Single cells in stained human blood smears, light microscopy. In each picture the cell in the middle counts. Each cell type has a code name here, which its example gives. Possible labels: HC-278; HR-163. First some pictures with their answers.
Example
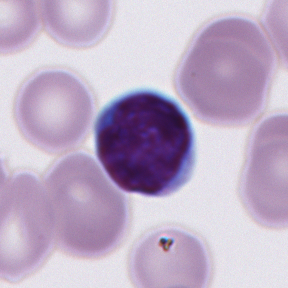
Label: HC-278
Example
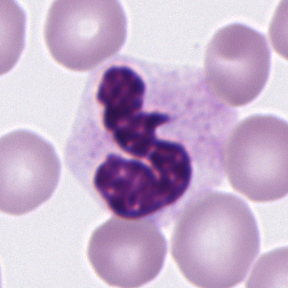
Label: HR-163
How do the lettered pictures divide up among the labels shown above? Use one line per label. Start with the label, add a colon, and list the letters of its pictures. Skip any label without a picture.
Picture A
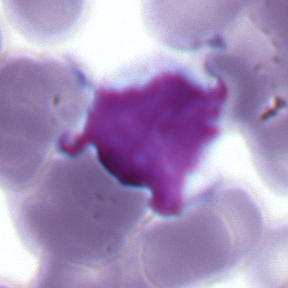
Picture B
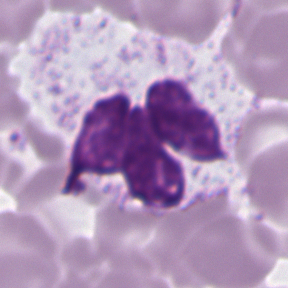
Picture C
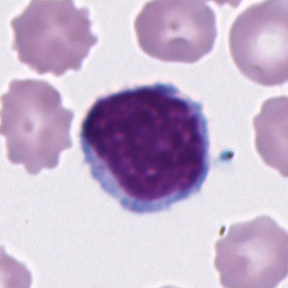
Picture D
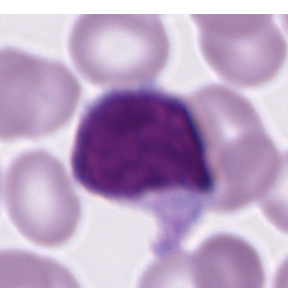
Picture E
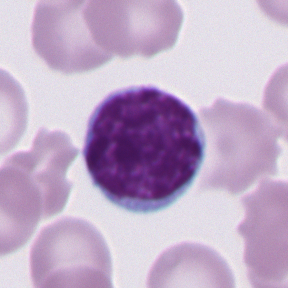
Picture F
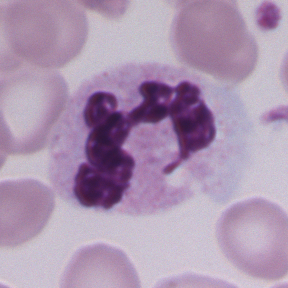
HC-278: A, C, D, E
HR-163: B, F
